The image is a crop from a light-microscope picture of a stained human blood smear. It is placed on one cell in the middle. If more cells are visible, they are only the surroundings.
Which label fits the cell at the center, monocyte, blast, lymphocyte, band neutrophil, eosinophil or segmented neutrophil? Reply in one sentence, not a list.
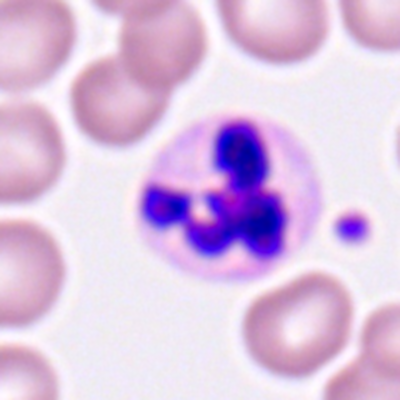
The cell at the central position in this crop is a segmented neutrophil.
